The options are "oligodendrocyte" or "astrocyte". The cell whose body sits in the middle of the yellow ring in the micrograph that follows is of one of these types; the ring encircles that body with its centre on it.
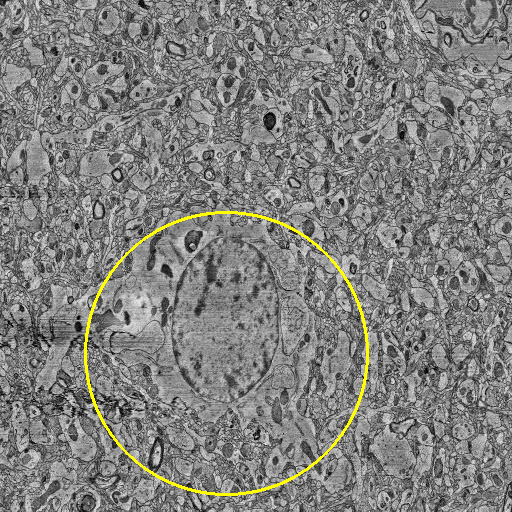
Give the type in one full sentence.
Going by the micrograph, the cell centred in the yellow ring is an astrocyte.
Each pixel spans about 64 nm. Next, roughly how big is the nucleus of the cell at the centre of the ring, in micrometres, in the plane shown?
In this plane, the nucleus is roughly 11 by 7 micrometres.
